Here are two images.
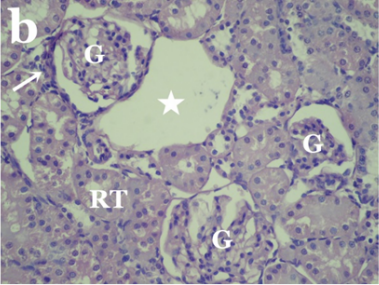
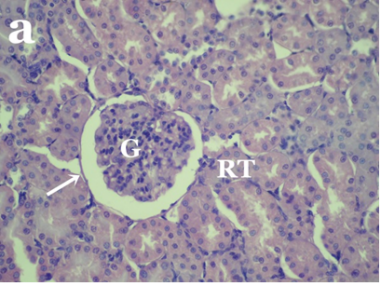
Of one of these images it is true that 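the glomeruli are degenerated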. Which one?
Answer: the first image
